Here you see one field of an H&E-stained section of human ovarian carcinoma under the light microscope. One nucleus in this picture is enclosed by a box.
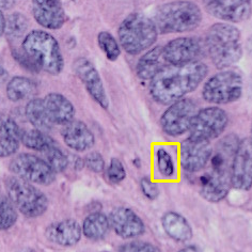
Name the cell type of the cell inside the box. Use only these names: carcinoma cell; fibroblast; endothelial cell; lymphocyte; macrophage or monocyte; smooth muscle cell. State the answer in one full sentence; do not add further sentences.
Cell type answer for this item: the cell inside the box is a lymphocyte.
